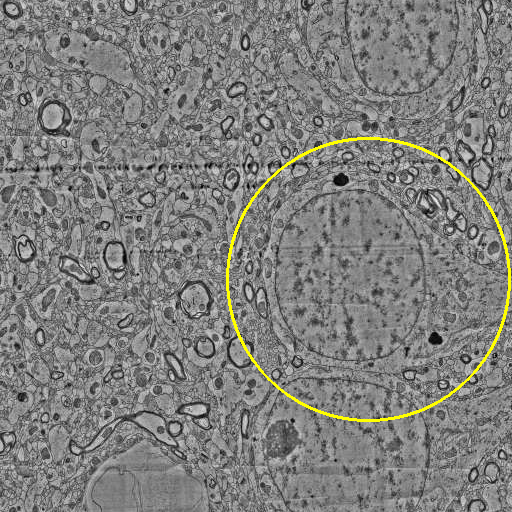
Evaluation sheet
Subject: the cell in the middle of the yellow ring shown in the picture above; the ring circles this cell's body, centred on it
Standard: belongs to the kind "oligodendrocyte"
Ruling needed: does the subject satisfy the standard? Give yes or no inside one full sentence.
No, the cell in the middle of the ring in the picture above belongs to some other kind.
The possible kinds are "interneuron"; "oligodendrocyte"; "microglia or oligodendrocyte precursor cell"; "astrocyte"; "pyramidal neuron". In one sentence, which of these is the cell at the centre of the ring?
The cell in the ring is a pyramidal neuron instead.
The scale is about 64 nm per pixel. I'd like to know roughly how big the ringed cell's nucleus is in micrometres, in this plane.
Approximately 11 micrometres across in this plane.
